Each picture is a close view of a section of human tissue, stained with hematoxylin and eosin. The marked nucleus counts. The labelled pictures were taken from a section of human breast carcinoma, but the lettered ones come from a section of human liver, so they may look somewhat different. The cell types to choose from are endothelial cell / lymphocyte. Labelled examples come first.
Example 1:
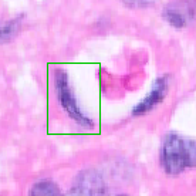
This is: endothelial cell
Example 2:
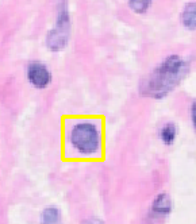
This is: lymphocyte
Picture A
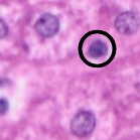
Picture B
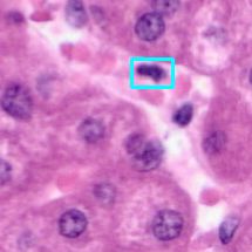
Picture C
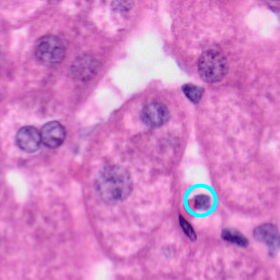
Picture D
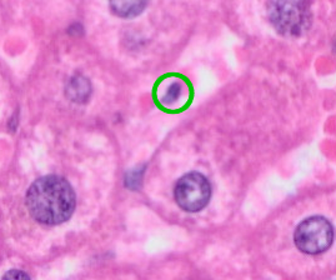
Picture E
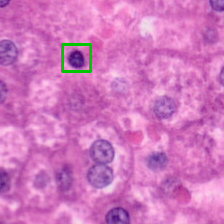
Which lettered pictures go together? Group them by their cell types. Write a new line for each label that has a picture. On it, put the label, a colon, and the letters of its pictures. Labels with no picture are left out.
lymphocyte: A, B, C, D, E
